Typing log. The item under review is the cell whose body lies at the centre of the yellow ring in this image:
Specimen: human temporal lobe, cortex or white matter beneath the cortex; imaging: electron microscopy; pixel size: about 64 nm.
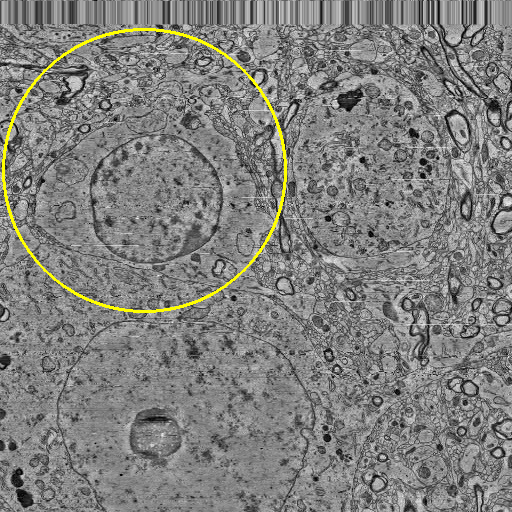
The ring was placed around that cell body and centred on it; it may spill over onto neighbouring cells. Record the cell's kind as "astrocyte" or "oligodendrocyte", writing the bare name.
astrocyte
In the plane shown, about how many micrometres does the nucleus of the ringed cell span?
In this plane the ringed cell's nucleus is roughly 9 micrometres across.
